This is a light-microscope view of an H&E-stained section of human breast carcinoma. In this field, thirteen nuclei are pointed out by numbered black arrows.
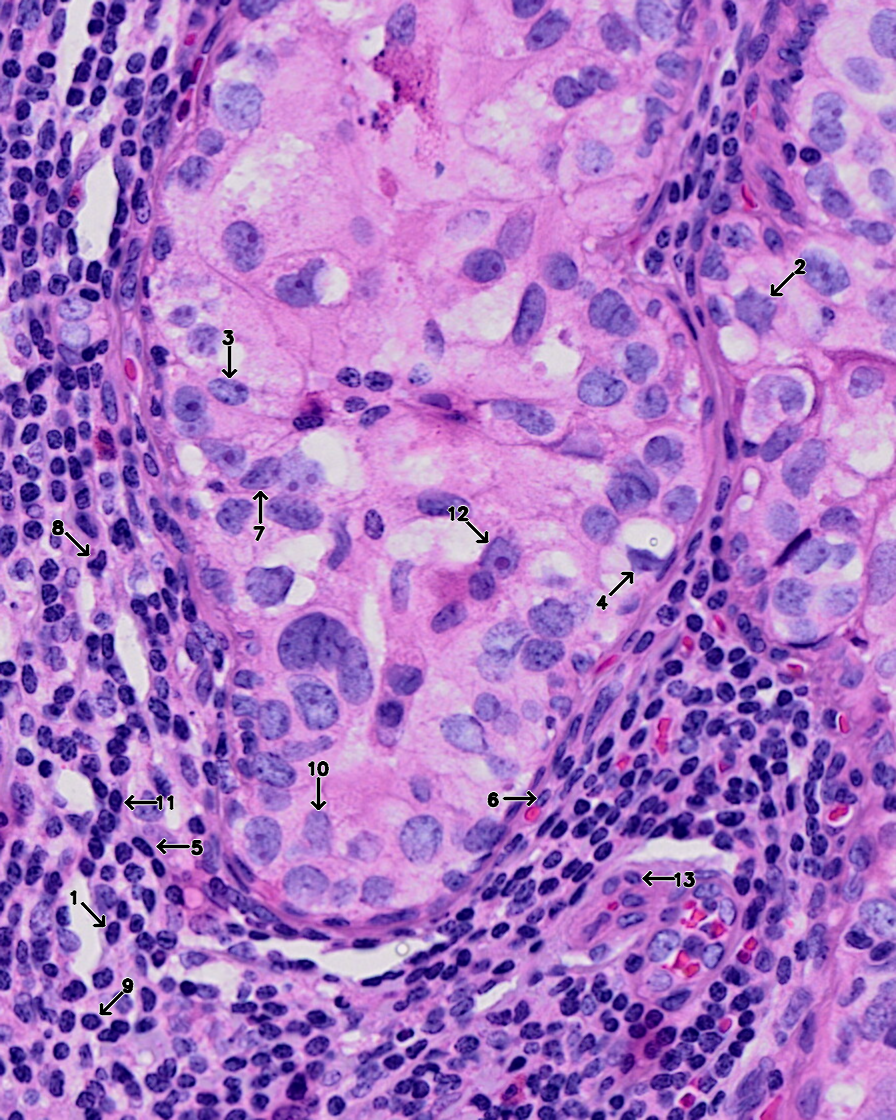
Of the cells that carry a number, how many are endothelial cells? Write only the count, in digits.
2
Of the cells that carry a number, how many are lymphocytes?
5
